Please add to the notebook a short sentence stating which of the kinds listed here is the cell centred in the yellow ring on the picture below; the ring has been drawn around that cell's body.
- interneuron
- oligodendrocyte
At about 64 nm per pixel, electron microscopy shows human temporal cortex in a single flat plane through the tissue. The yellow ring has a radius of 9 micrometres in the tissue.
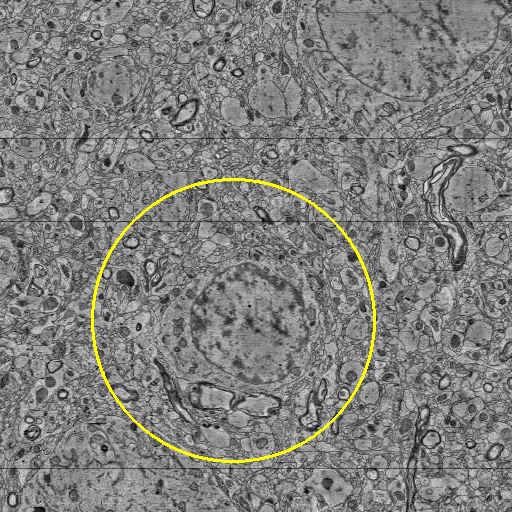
The cell centred in the yellow ring is an interneuron.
